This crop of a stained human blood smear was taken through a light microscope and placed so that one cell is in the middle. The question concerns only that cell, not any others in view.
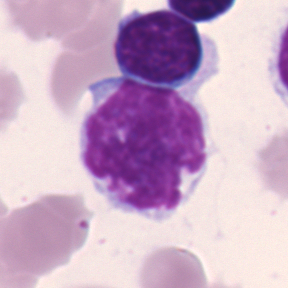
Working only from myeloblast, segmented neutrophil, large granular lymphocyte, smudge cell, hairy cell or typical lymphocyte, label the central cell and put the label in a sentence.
The cell at the middle of the crop is recognized as a myeloblast.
